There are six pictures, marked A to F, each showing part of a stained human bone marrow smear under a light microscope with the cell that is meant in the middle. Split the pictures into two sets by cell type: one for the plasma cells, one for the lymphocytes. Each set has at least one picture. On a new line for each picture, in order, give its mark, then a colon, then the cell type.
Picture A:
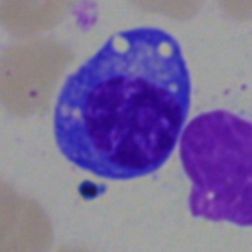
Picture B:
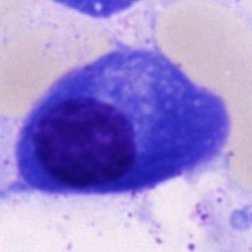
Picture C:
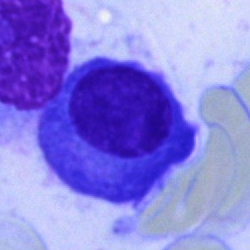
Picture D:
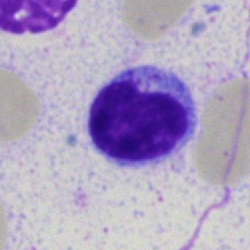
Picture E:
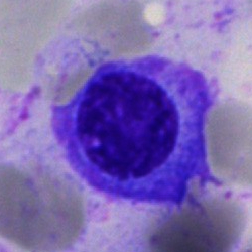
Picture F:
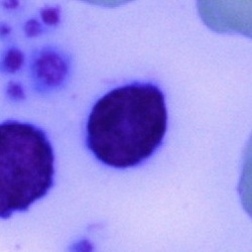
A: plasma cell
B: plasma cell
C: plasma cell
D: lymphocyte
E: plasma cell
F: lymphocyte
